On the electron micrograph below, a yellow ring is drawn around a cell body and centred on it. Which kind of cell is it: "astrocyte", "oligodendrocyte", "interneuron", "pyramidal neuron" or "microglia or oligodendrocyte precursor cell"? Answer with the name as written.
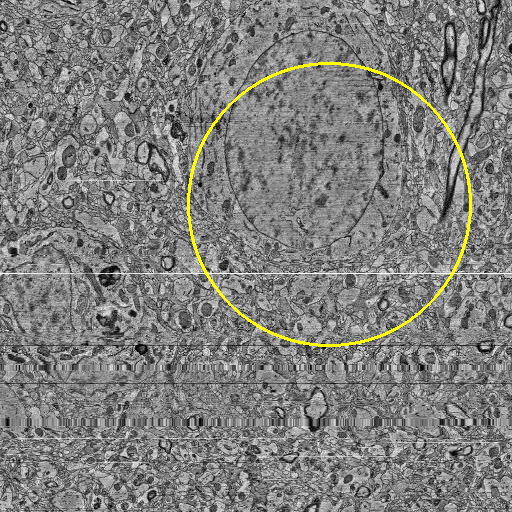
pyramidal neuron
